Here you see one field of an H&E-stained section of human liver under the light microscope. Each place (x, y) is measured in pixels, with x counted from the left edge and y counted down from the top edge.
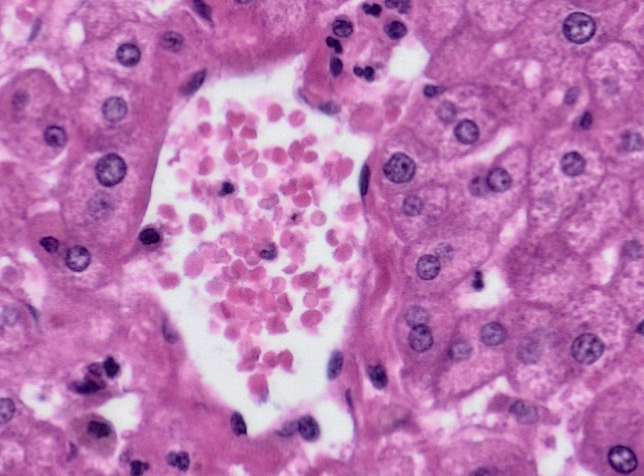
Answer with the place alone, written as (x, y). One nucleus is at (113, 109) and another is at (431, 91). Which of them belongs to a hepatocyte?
(113, 109)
